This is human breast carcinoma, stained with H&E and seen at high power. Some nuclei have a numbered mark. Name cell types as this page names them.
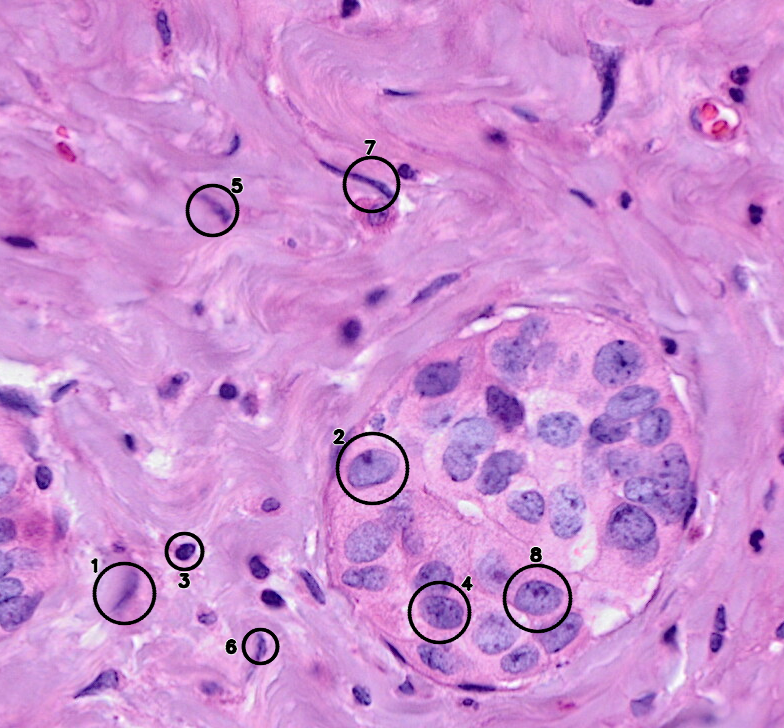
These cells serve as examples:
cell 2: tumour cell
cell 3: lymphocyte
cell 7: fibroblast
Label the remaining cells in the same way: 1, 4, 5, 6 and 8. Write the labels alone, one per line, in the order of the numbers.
fibroblast
tumour cell
fibroblast
fibroblast
tumour cell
